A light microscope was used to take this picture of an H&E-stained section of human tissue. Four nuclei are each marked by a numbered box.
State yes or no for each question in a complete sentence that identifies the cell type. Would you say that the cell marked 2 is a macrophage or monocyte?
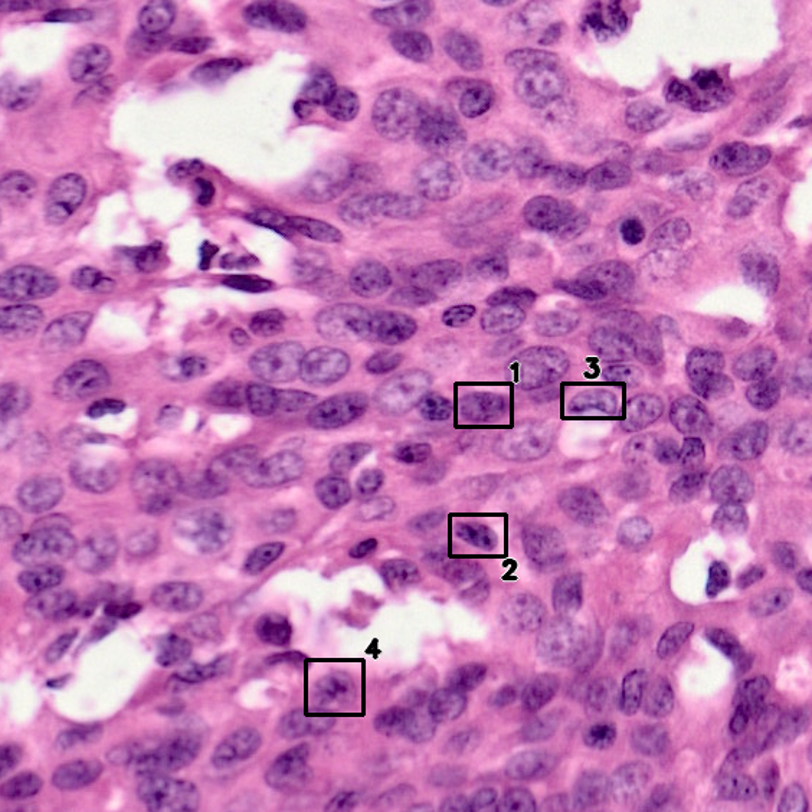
Yes, the cell that the number 2 labels is a macrophage or monocyte.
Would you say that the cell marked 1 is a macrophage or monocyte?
No, a carcinoma cell, not a macrophage or monocyte, is the cell with number 1.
